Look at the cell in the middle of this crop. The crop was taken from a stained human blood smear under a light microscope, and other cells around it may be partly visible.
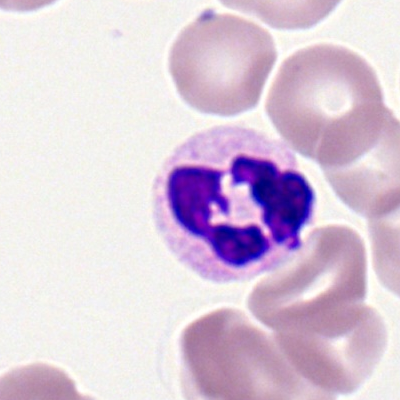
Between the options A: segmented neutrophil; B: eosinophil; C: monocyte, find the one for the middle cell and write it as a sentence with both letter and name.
Option A correctly names the cell in the middle as a segmented neutrophil.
